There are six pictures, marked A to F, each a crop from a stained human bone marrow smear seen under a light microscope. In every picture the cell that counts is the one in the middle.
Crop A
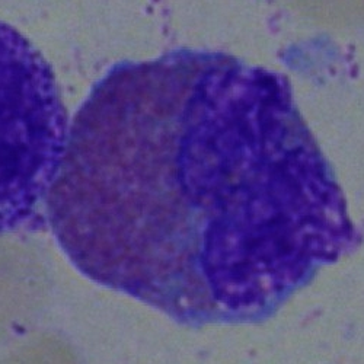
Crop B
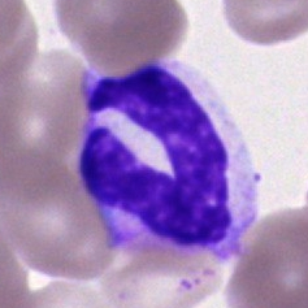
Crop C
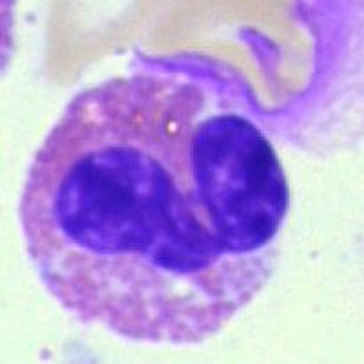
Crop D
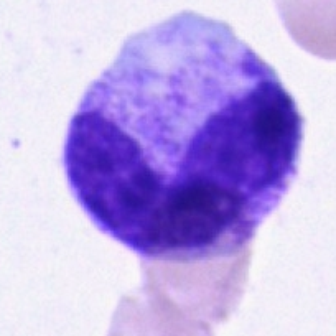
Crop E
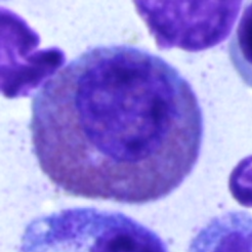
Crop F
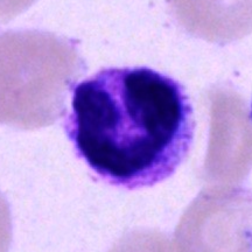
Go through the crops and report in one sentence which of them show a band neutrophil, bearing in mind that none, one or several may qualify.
Crops B and D, looked at one by one, show band neutrophils in the middle.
